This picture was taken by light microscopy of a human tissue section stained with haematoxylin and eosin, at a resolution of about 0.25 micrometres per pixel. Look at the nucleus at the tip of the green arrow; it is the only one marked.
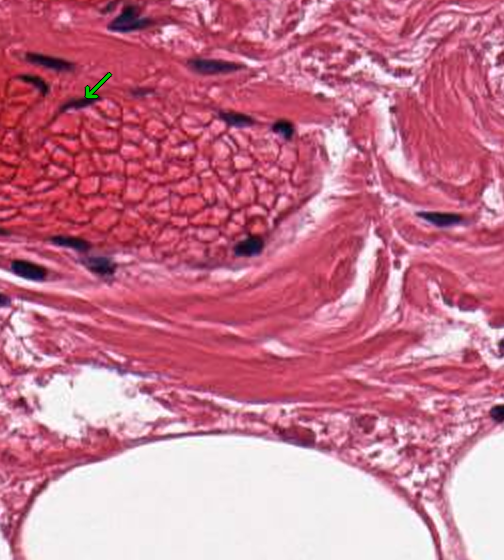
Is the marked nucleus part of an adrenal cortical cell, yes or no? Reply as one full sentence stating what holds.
No, the marked nucleus does not belong to an adrenal cortical cell; it belongs to a supporting cell.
